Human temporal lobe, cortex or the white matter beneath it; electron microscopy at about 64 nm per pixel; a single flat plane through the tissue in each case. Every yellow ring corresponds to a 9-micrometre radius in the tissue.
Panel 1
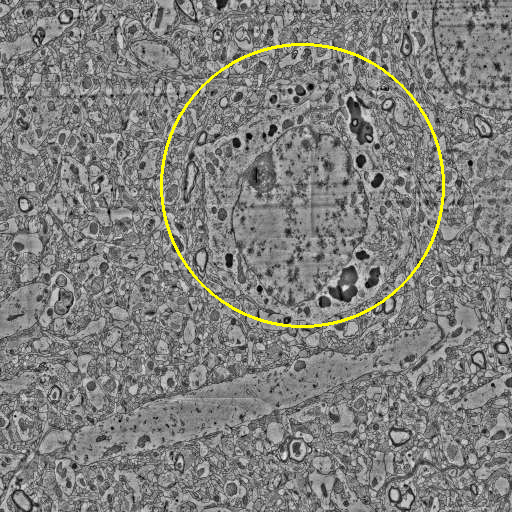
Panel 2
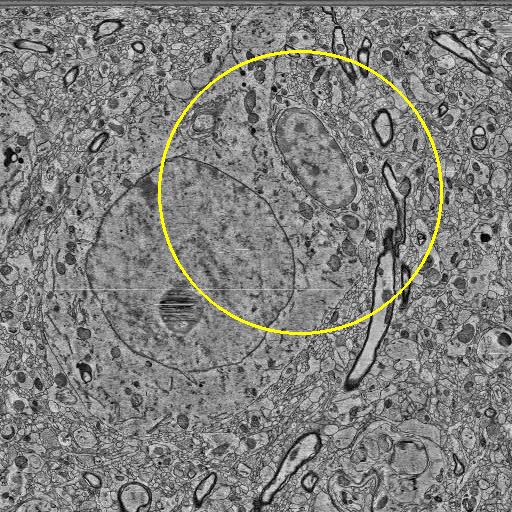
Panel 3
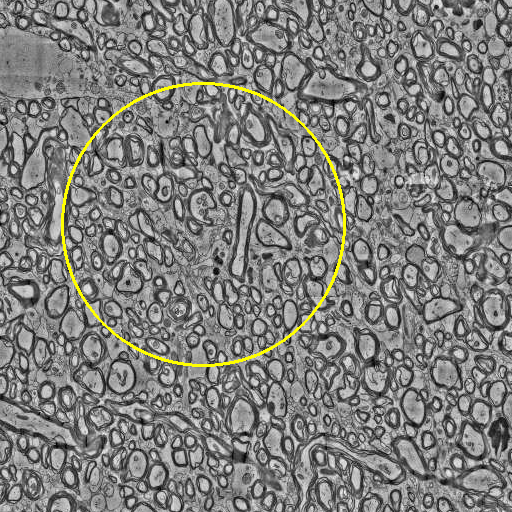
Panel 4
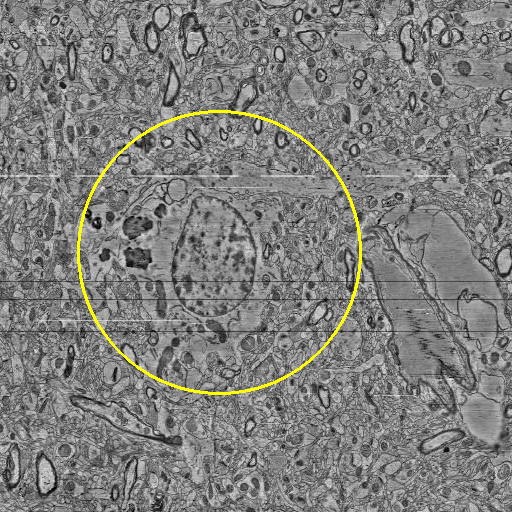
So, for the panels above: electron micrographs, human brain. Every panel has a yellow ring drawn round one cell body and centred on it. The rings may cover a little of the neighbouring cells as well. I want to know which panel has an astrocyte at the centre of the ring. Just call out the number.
4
